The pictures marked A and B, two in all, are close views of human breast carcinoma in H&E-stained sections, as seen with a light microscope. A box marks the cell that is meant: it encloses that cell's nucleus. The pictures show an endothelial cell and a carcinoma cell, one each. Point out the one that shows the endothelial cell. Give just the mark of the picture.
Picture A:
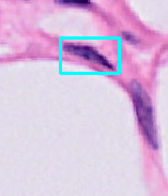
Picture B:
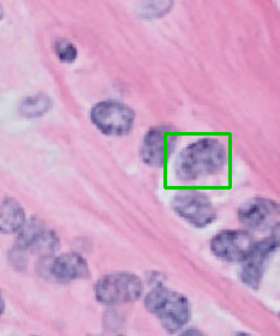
A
